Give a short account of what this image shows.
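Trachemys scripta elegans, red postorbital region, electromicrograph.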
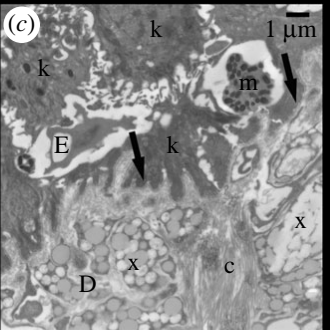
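In this electron micrograph the lower epidermis, made of keratinocytes with fairly dense cytoplasm, sits above the dermis, separated by the basal lamina. A melanocyte containing a cluster of dark granules lies among the keratinocytes. Below the basal lamina, xanthophores reside in the dermis; their cytoplasm is filled with many round, pale vesicles of varying size, giving a bubbly look. Bundles of finely striated collagen fibres run between these pigment cells. Narrow clefts separate some of the epidermal cells.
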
